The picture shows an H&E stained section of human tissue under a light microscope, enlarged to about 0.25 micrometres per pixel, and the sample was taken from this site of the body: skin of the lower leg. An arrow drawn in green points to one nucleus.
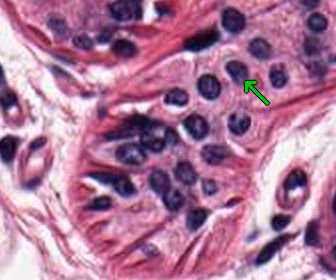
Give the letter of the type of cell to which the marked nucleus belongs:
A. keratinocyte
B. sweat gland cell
B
